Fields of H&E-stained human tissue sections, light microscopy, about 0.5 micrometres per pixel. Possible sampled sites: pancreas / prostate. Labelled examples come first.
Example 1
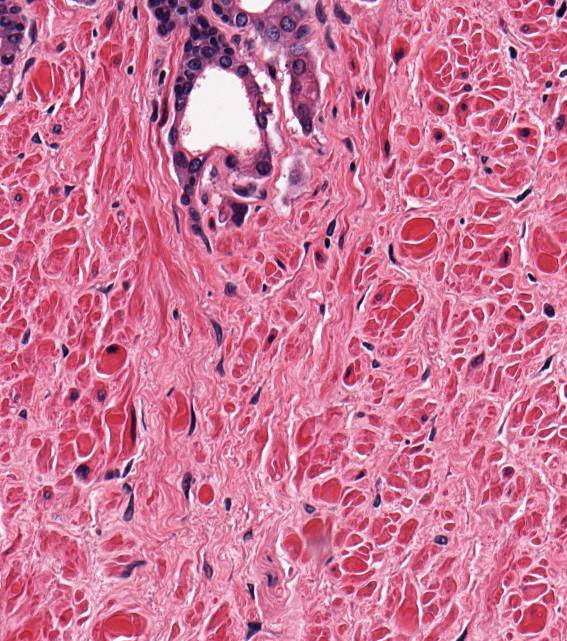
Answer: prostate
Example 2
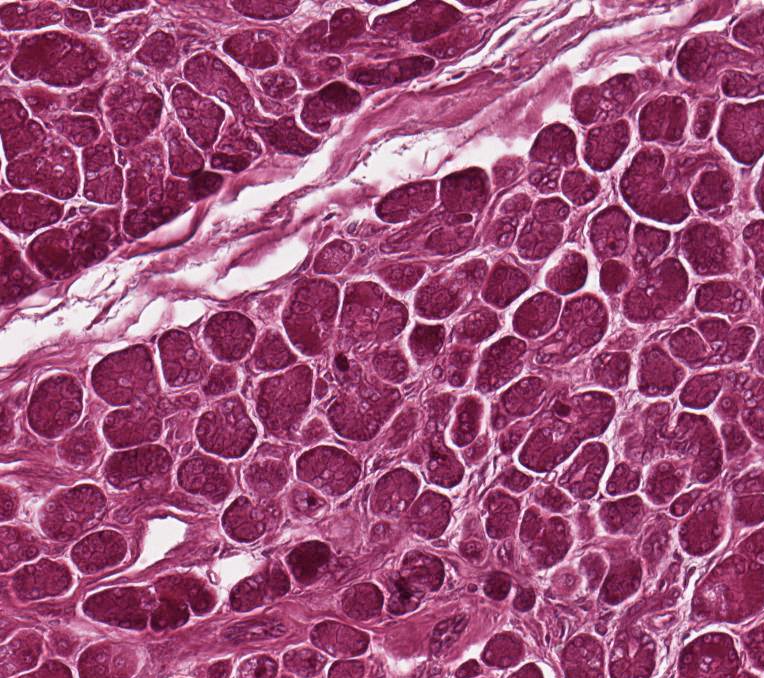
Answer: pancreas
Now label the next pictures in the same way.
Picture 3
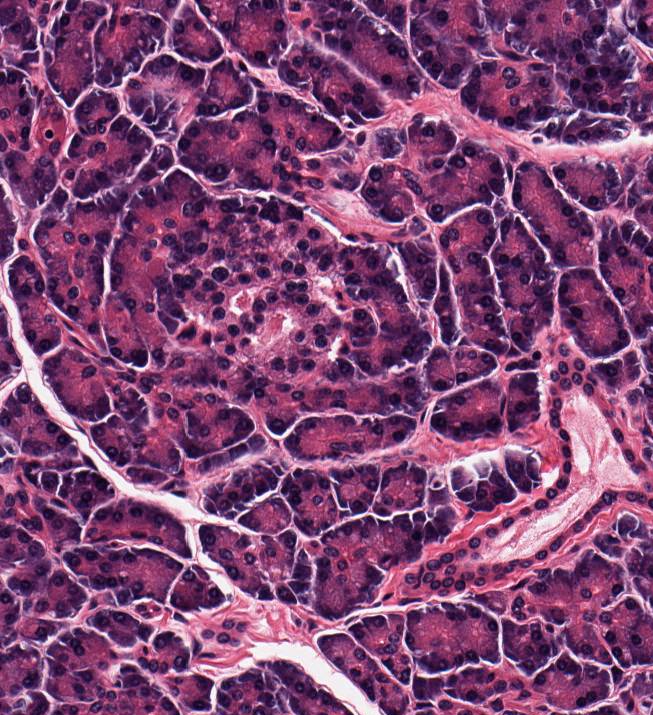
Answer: pancreas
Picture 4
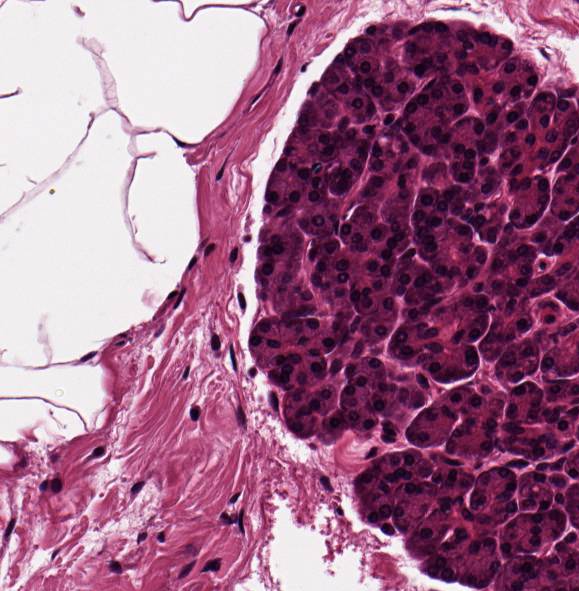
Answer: pancreas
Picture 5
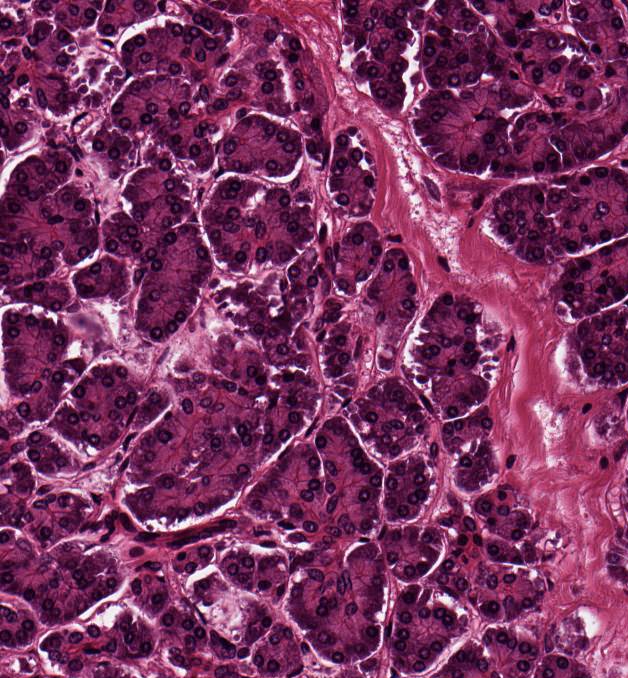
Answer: pancreas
